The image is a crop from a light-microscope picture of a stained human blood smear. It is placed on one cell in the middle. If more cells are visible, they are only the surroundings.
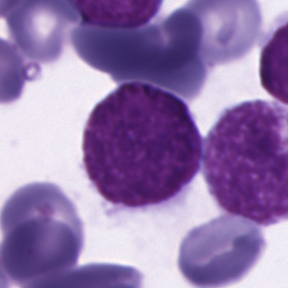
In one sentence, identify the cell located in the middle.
The cell that lies at the centre of the crop is a myeloblast.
